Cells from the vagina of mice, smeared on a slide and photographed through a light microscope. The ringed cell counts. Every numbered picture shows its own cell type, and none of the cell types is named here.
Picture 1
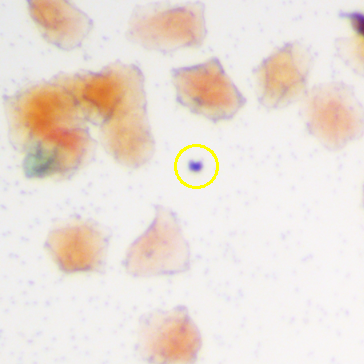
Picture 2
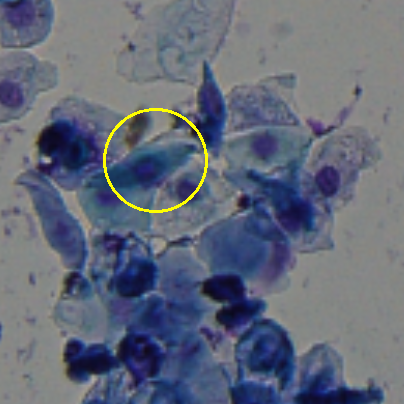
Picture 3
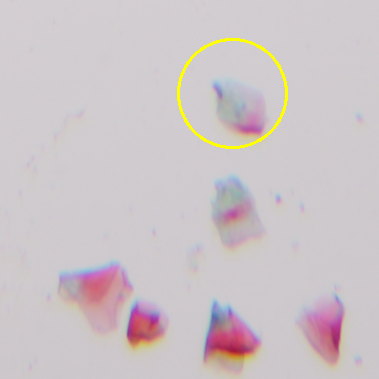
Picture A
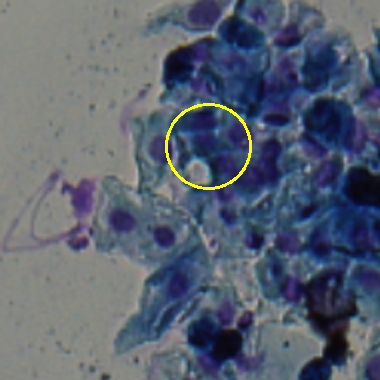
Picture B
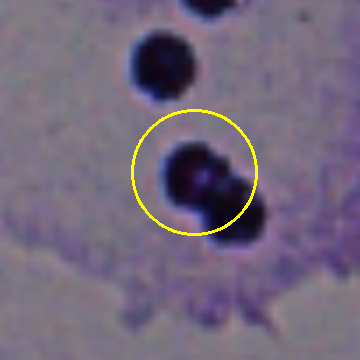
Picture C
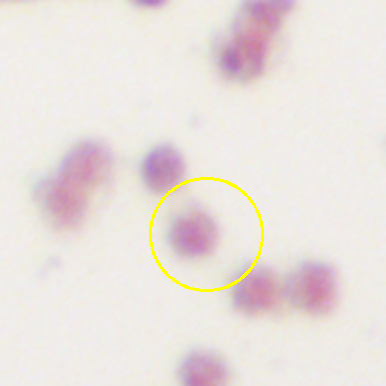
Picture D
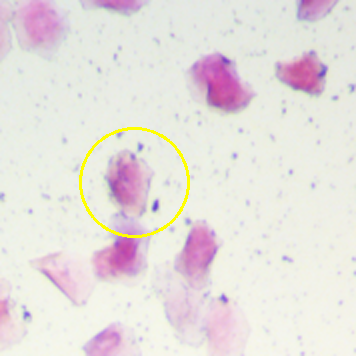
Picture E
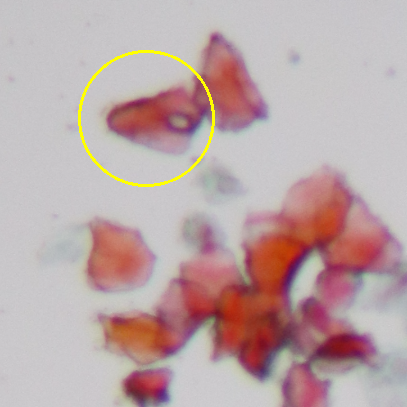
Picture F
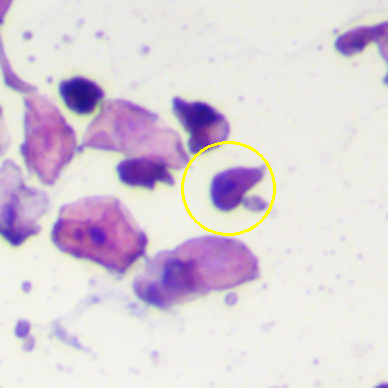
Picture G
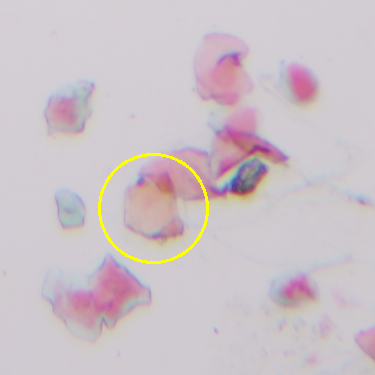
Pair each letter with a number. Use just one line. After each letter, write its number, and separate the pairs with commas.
A 2, B 1, C 1, D 3, E 3, F 2, G 3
